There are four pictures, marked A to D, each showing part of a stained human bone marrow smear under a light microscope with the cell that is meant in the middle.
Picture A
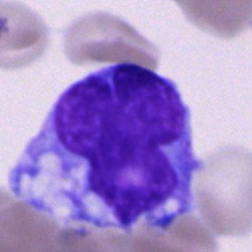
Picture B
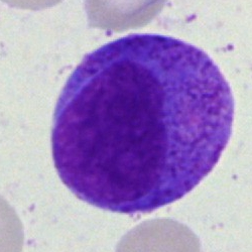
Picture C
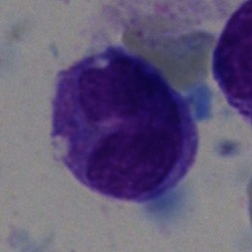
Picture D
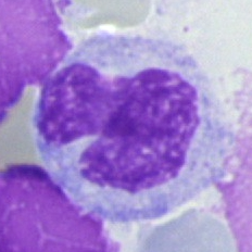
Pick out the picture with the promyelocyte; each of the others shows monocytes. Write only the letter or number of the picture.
B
